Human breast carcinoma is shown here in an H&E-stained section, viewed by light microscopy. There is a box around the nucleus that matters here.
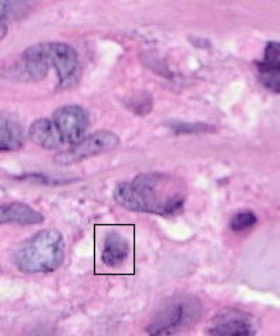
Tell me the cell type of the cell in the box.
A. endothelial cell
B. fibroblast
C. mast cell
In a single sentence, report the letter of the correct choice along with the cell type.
Option C matches the cell in the box, which is a mast cell.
